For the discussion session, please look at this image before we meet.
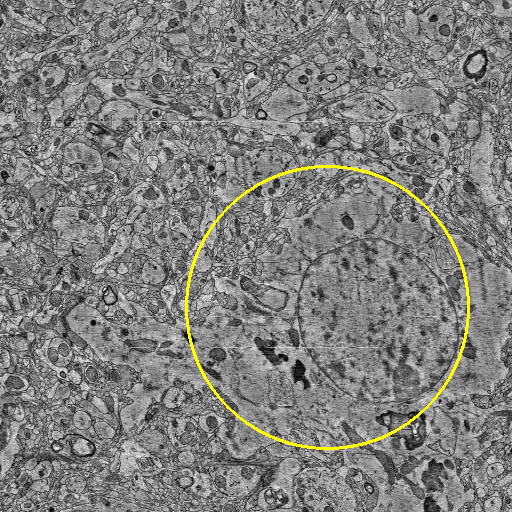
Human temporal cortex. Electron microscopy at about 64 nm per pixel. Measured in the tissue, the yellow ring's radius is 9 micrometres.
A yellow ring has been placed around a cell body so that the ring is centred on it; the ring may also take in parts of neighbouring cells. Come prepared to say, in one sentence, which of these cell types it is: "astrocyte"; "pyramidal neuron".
The cell centred in the ring is an astrocyte.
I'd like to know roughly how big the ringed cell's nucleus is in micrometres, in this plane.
Approximately 10 micrometres across, in this plane.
